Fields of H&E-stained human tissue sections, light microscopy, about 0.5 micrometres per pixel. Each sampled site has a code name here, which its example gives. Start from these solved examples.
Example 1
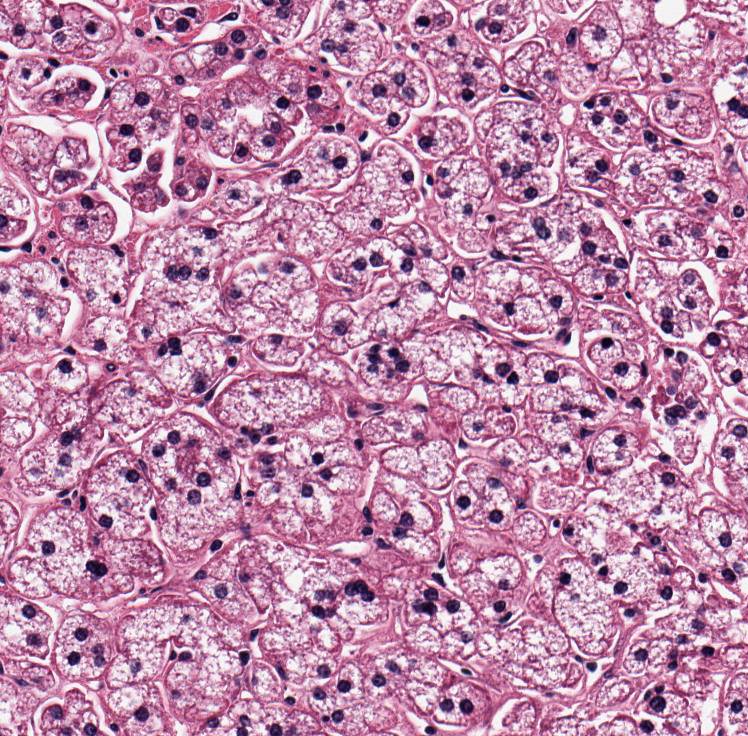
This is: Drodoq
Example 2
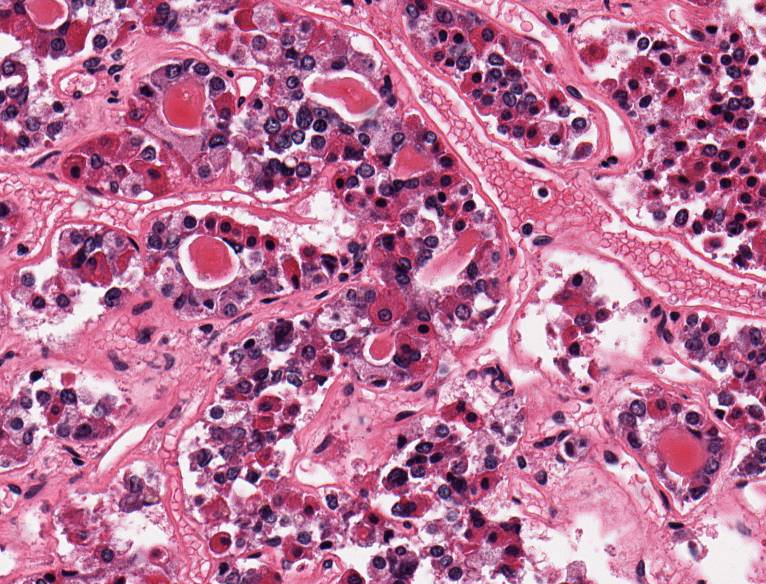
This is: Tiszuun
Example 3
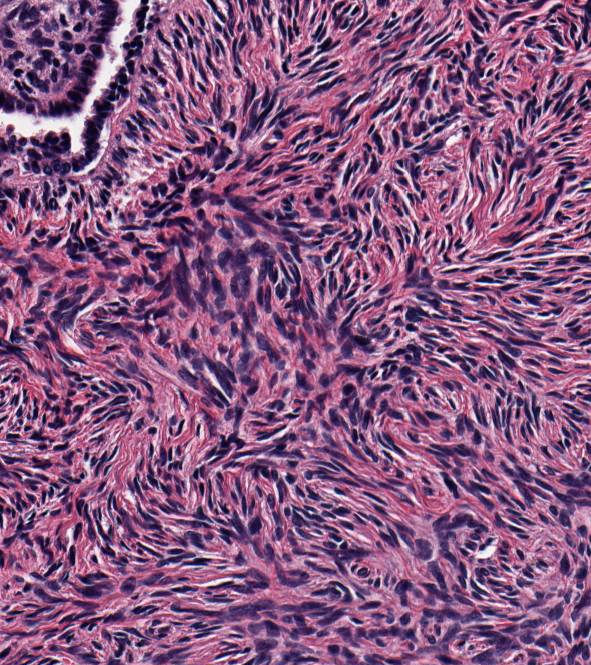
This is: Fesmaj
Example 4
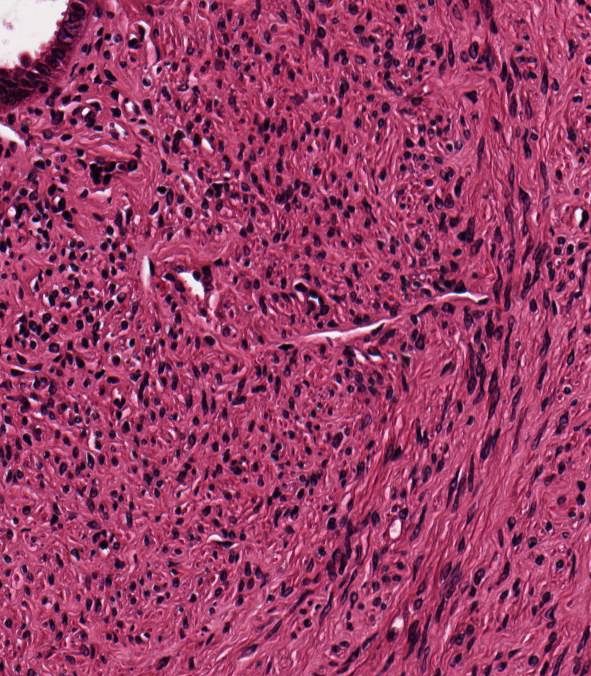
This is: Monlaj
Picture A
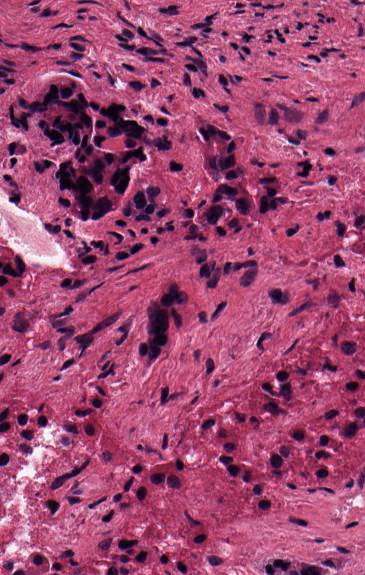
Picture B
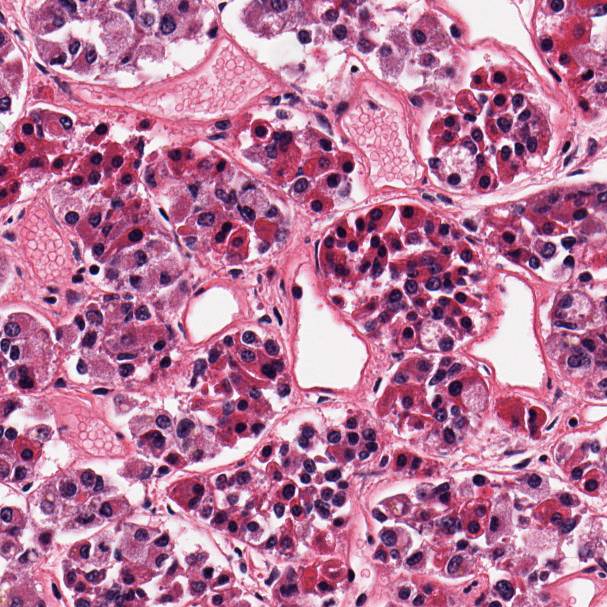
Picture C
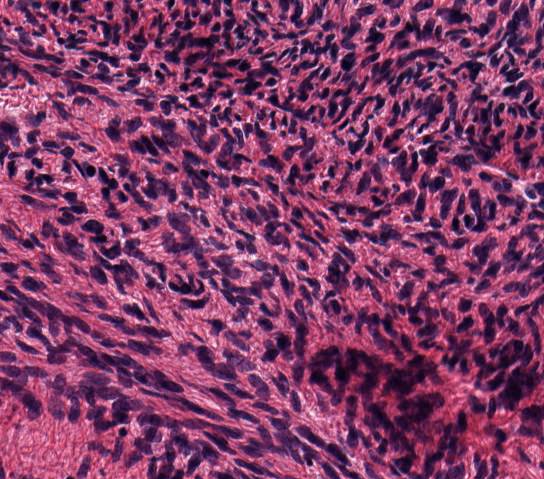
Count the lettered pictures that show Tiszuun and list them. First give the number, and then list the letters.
2, namely A, B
